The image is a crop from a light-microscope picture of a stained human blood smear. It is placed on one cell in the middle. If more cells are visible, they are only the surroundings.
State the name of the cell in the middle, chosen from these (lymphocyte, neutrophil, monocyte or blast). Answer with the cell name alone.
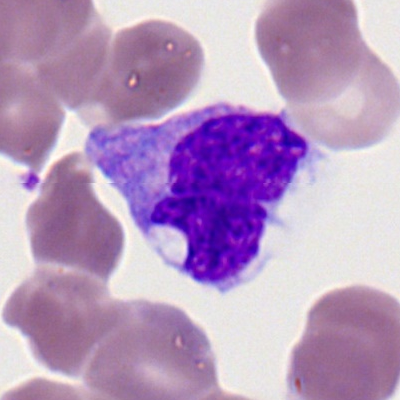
monocyte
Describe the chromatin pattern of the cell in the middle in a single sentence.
You can see that its chromatin is coarsely clumped.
